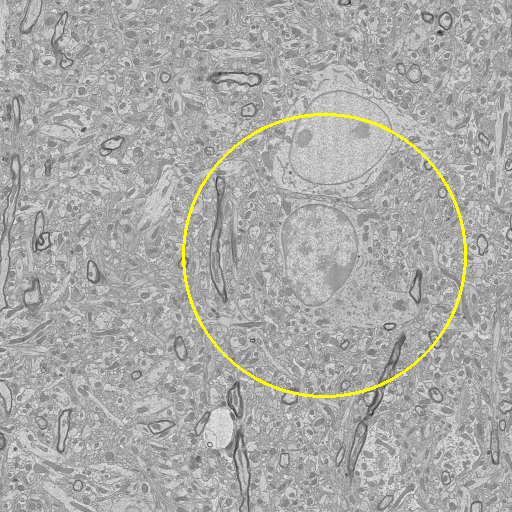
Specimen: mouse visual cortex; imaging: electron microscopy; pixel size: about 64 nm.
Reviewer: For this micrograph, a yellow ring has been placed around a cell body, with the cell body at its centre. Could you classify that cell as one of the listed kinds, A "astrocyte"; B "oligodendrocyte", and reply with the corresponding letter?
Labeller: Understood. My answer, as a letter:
B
